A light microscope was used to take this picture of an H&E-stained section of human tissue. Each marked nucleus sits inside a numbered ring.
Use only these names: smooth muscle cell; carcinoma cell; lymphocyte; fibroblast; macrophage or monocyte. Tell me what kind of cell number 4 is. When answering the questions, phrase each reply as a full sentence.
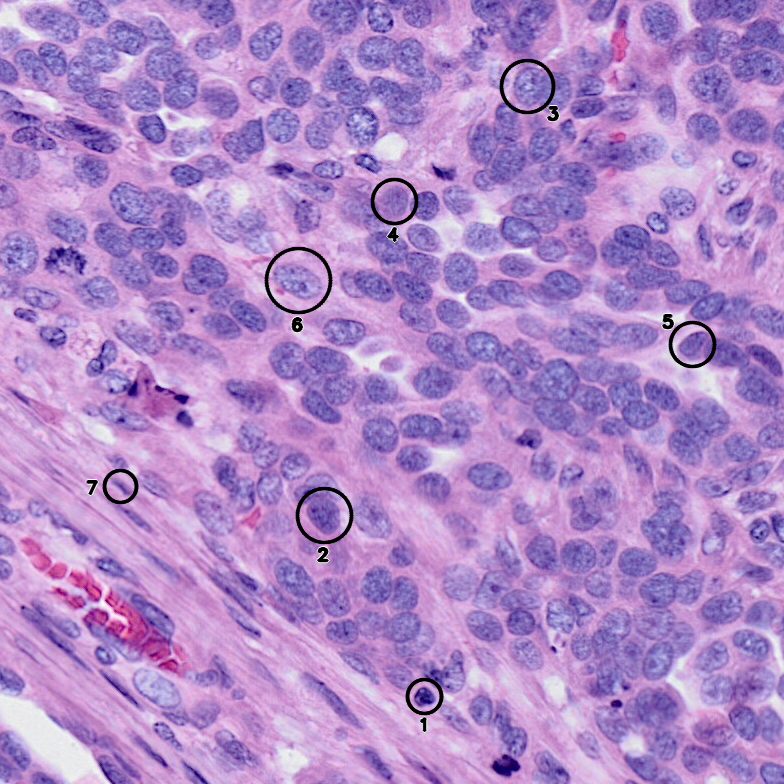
In this section, number 4 marks a carcinoma cell.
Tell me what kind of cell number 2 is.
The cell marked with the number 2 is a carcinoma cell.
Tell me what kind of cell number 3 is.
The cell whose nucleus carries the number 3 is a carcinoma cell.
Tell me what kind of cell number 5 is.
Marked with the number 5, this cell is a carcinoma cell.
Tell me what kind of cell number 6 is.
Identified by the number 6, the cell is a fibroblast.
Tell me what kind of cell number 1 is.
The cell numbered 1 represents a lymphocyte.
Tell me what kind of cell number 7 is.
Corresponding to a fibroblast is the cell labelled 7.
